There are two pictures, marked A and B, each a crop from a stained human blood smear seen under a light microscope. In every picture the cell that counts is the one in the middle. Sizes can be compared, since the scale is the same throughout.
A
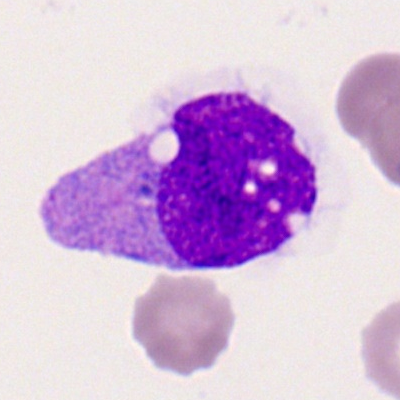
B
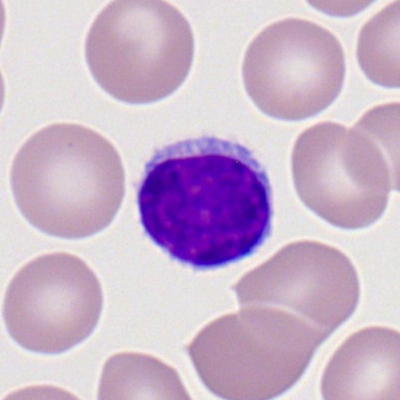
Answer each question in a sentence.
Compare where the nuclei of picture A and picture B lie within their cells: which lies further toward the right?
In picture A the nucleus is shifted more toward the right.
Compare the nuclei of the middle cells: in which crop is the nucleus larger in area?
The nucleus in picture A is larger, with about 2 times the area of the one in picture B.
